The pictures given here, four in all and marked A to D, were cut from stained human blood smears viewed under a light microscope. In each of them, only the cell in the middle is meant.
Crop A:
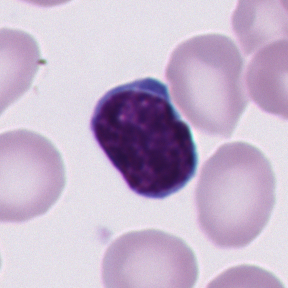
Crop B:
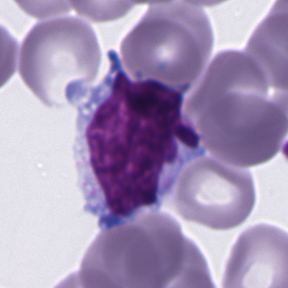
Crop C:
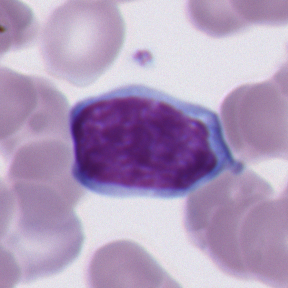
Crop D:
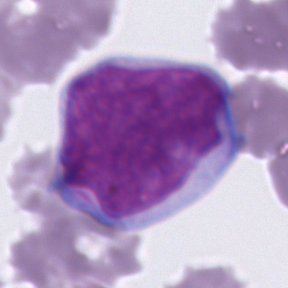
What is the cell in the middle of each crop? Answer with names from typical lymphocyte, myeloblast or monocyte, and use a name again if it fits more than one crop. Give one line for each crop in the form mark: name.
A: typical lymphocyte
B: typical lymphocyte
C: typical lymphocyte
D: myeloblast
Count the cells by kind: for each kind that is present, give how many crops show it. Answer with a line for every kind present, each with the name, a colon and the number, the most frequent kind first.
typical lymphocyte: 3
myeloblast: 1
